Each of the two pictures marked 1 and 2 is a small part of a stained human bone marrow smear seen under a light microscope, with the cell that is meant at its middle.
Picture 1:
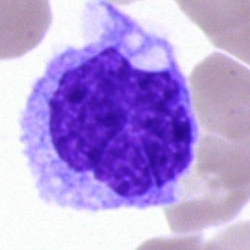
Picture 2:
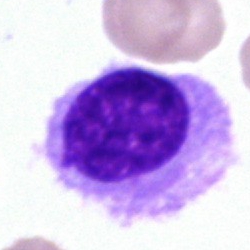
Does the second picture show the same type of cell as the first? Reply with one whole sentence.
No, the types are not the same, since picture 1 shows a monocyte and picture 2 a hairy cell.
